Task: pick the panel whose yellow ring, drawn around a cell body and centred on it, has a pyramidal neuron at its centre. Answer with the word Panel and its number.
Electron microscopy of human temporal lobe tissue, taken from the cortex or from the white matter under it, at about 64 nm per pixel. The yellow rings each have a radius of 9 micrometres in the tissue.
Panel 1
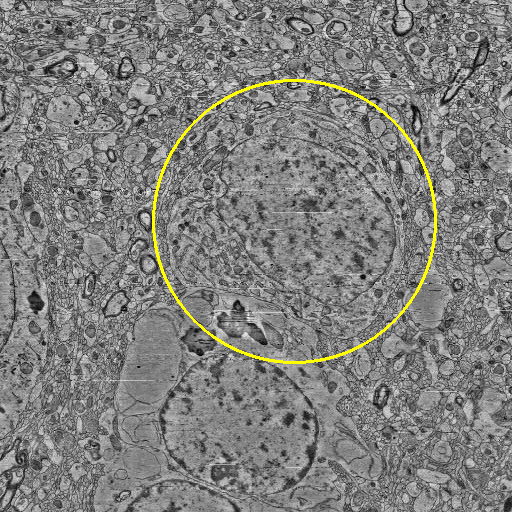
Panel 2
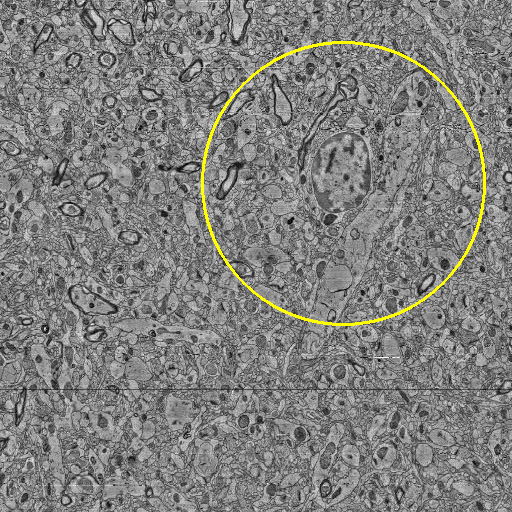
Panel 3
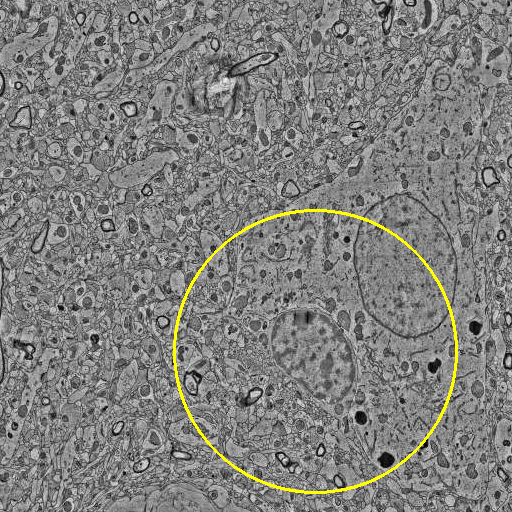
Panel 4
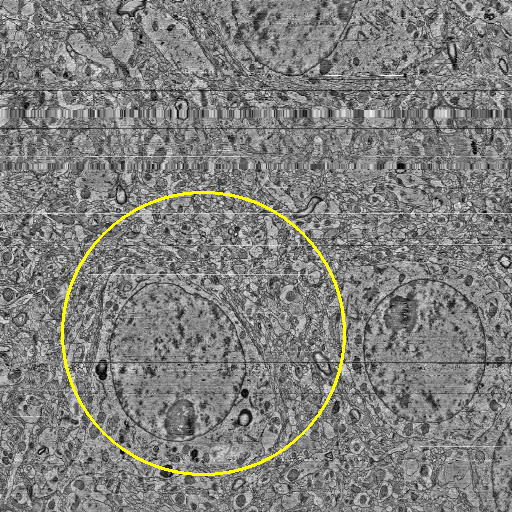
Panel 4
